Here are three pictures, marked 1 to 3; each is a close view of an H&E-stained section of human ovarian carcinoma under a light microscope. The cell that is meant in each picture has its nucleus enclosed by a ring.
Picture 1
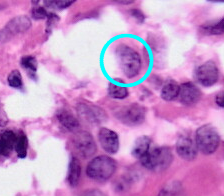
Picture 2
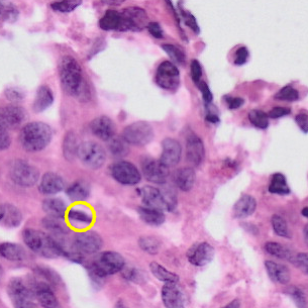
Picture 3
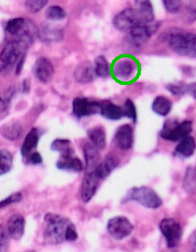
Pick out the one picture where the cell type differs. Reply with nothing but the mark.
1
